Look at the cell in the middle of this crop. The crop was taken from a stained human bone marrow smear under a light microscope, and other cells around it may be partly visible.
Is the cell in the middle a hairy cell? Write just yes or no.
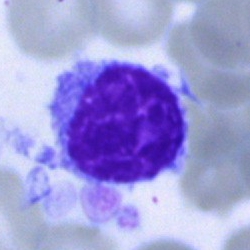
yes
